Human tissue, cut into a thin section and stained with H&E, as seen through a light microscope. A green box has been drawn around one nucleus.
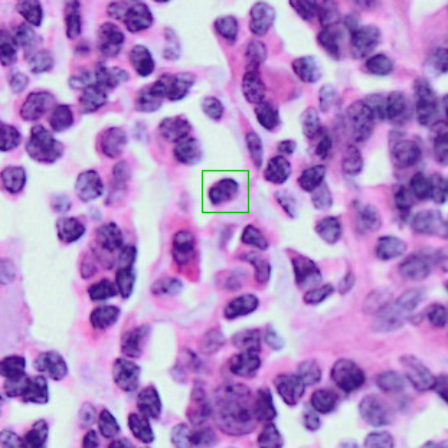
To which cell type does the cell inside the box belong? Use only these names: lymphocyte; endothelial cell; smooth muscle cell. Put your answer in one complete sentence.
On this particular slide, the cell inside the box is a lymphocyte.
